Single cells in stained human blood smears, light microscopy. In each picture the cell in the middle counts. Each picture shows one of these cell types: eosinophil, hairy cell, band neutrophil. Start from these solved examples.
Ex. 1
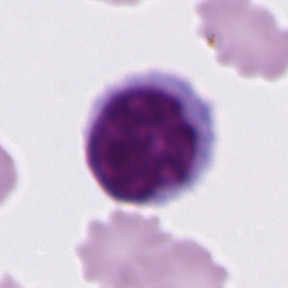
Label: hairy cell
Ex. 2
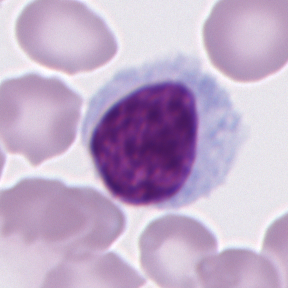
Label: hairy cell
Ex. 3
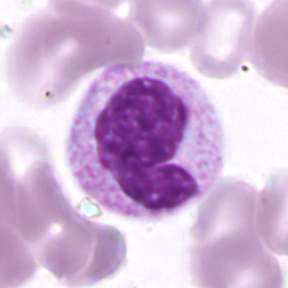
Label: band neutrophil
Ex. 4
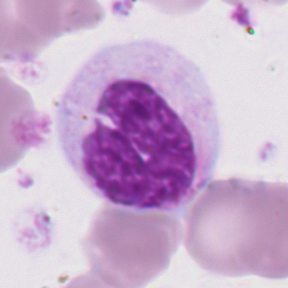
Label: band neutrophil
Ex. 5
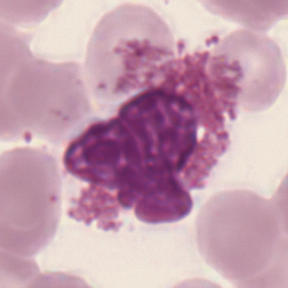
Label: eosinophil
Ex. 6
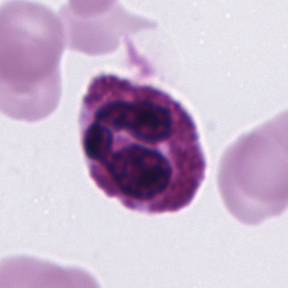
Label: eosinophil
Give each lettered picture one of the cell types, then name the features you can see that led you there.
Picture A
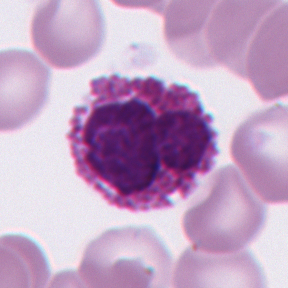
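eosinophil. The nucleus has two lobes, the left lobe larger than the right.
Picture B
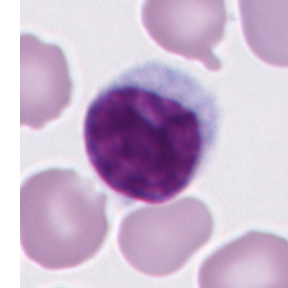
hairy cell. The cytoplasm forms a narrow rim that is widest on the upper right side.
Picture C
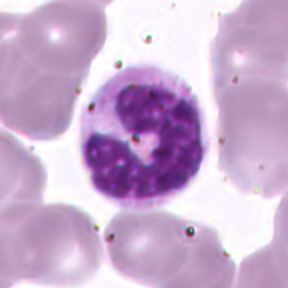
band neutrophil. The nucleus is a thick curved band bent around a pale central hollow, with its opening towards the left.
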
